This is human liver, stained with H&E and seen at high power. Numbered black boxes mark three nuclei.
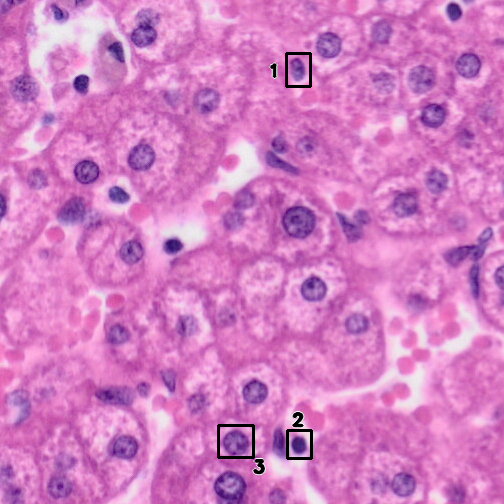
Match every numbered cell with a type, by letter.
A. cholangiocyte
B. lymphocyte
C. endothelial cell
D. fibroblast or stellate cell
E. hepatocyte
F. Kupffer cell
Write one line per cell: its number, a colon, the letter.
1: B
2: B
3: E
